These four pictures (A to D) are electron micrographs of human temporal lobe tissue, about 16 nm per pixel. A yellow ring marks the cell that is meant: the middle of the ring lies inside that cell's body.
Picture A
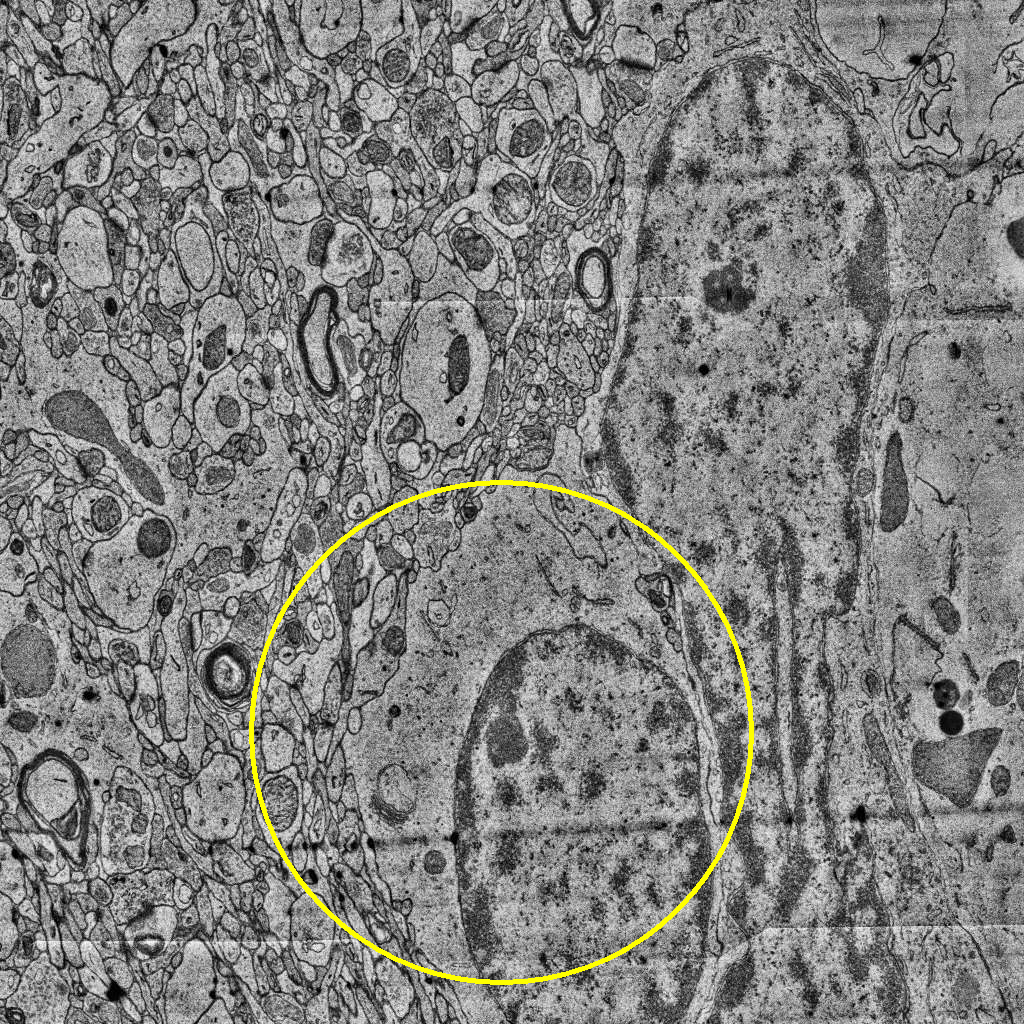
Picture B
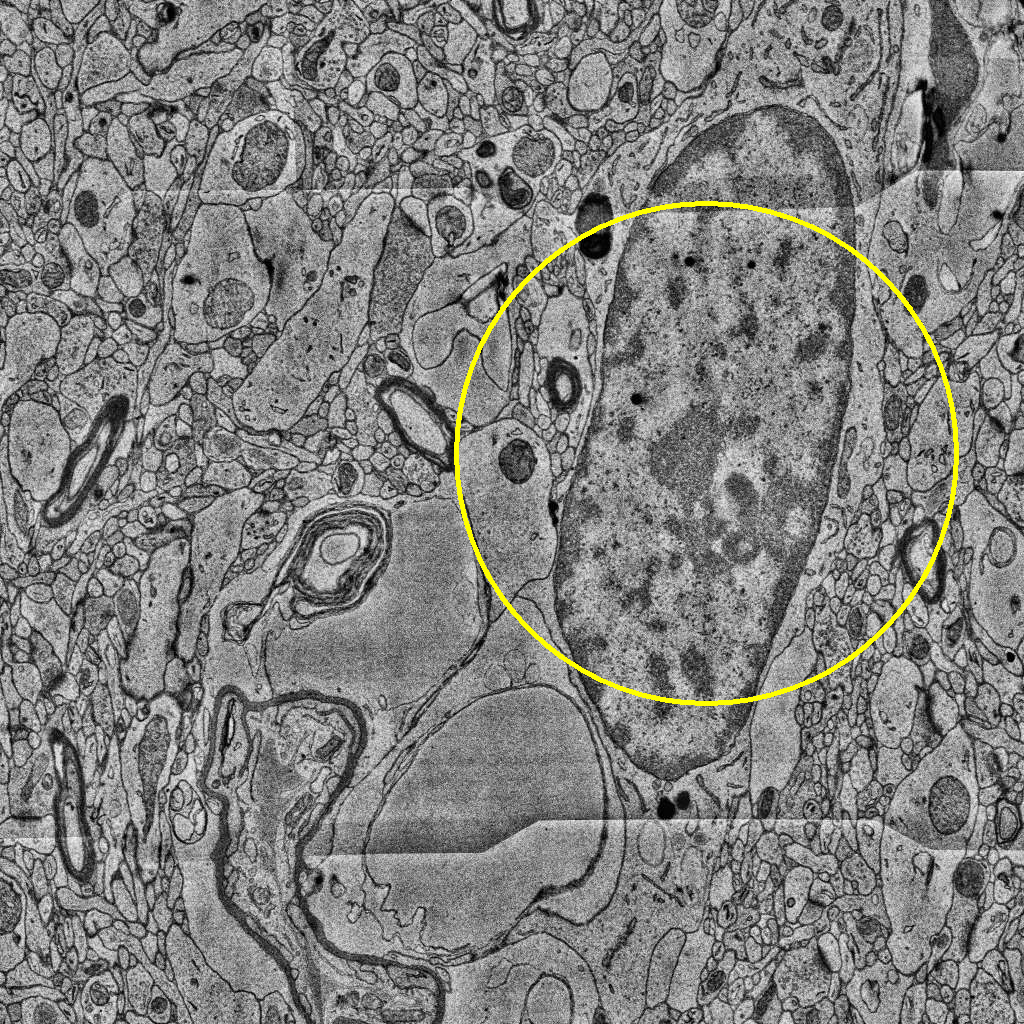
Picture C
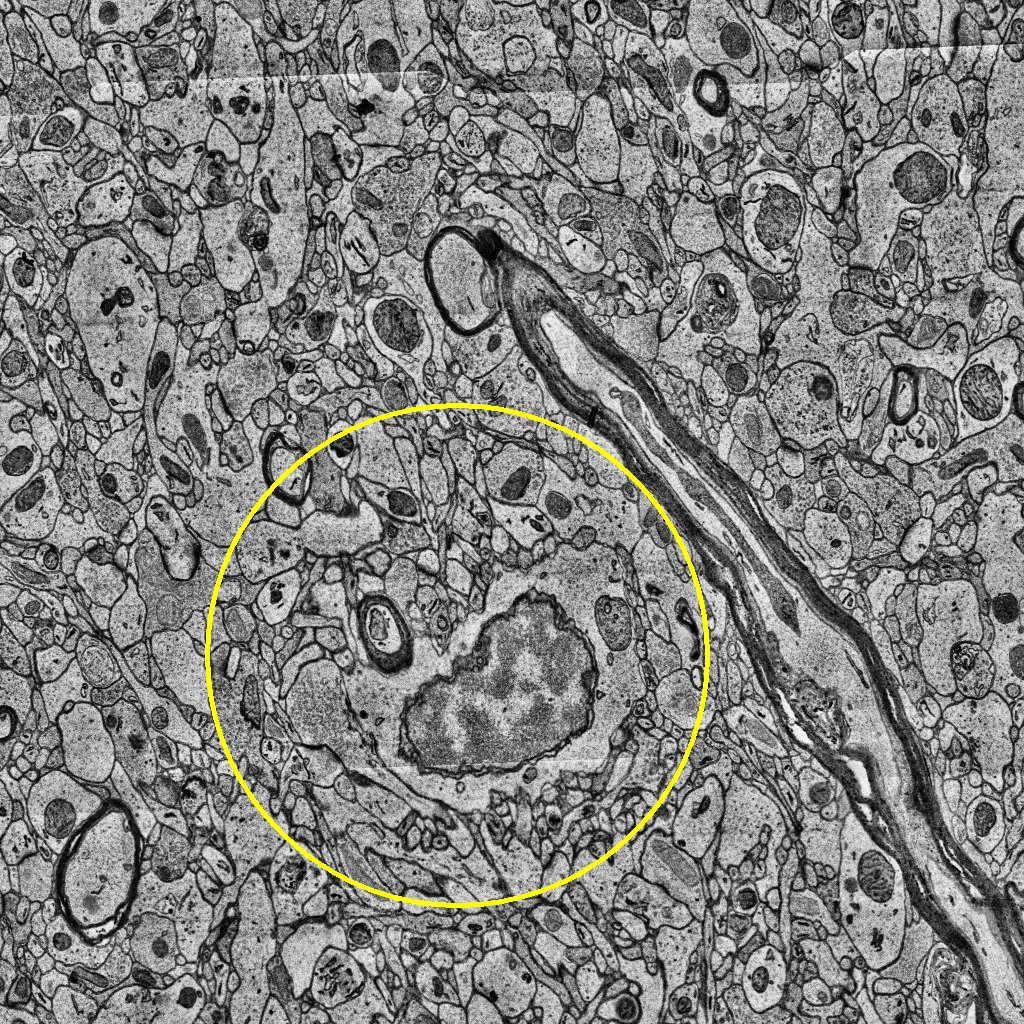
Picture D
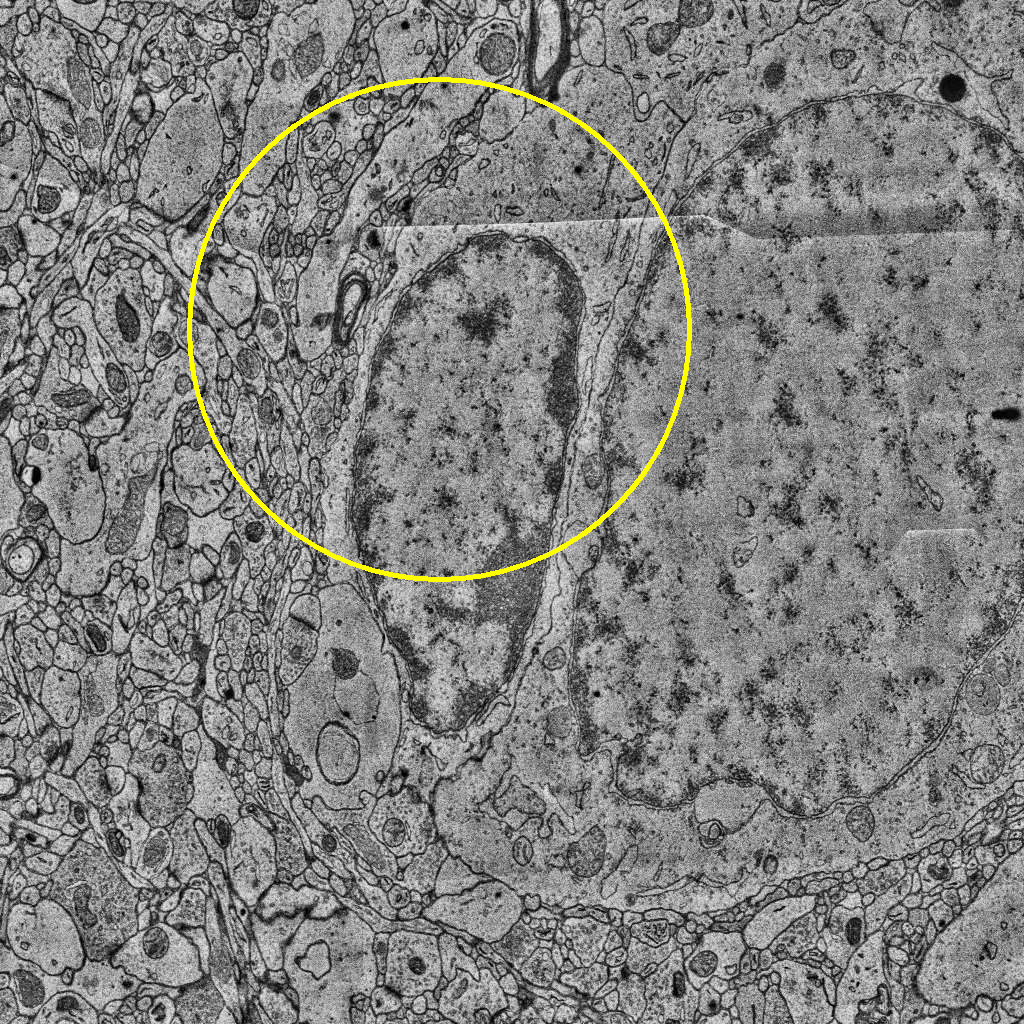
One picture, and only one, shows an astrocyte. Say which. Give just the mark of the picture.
A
